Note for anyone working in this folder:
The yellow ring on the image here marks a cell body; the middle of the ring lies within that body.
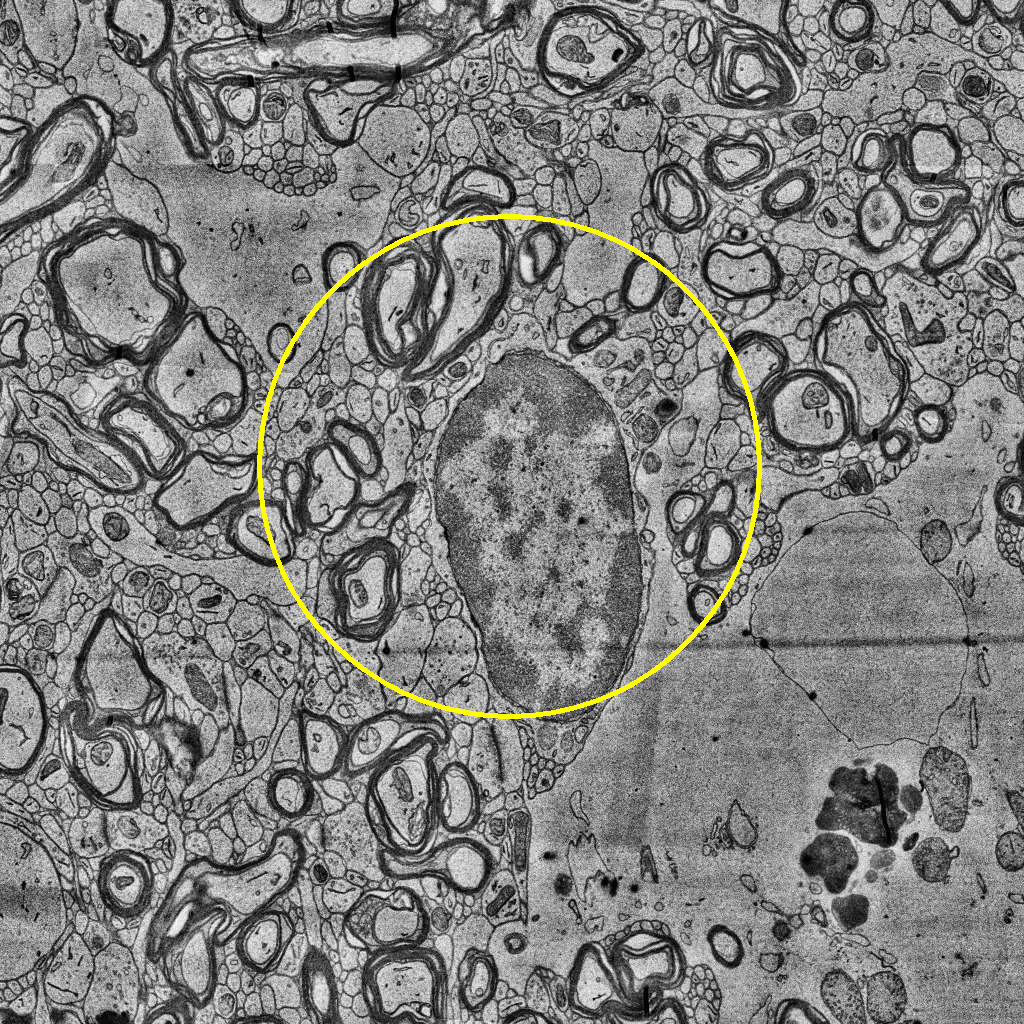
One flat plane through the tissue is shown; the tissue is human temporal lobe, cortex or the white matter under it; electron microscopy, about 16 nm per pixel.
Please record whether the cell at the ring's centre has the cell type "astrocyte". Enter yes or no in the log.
no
